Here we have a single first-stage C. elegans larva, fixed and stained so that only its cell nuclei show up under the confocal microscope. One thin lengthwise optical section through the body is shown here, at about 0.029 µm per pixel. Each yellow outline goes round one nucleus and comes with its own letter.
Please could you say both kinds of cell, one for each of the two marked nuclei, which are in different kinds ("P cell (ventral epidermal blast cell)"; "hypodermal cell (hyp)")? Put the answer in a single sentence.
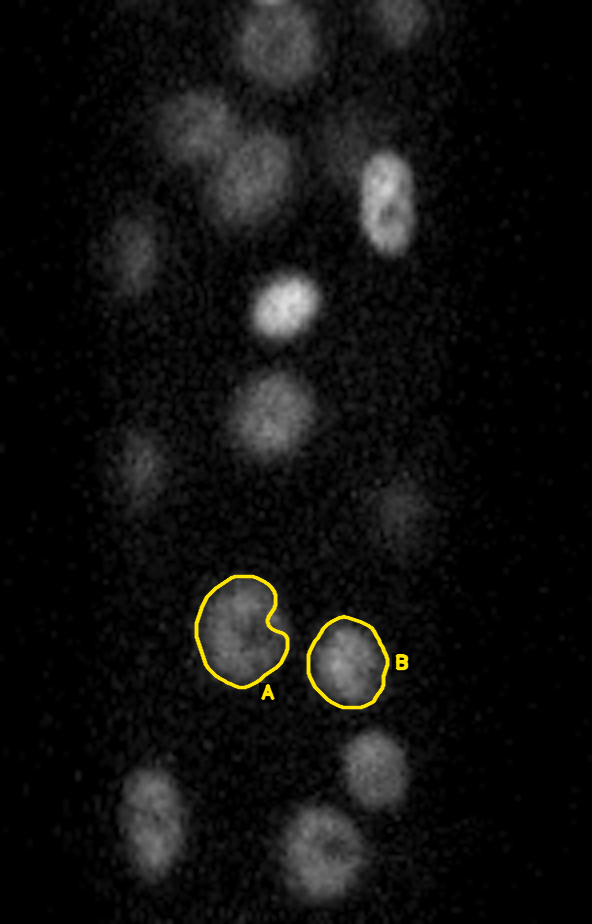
A is in a hypodermal cell (hyp) and B is in a P cell (ventral epidermal blast cell).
